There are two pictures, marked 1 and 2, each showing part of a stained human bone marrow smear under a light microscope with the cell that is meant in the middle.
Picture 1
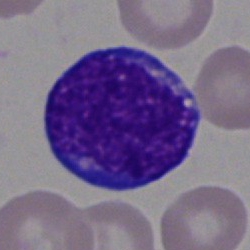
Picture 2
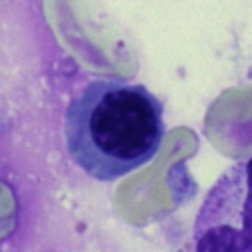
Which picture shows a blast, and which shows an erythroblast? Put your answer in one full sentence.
Picture 2 shows an erythroblast, while picture 1 shows a blast.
